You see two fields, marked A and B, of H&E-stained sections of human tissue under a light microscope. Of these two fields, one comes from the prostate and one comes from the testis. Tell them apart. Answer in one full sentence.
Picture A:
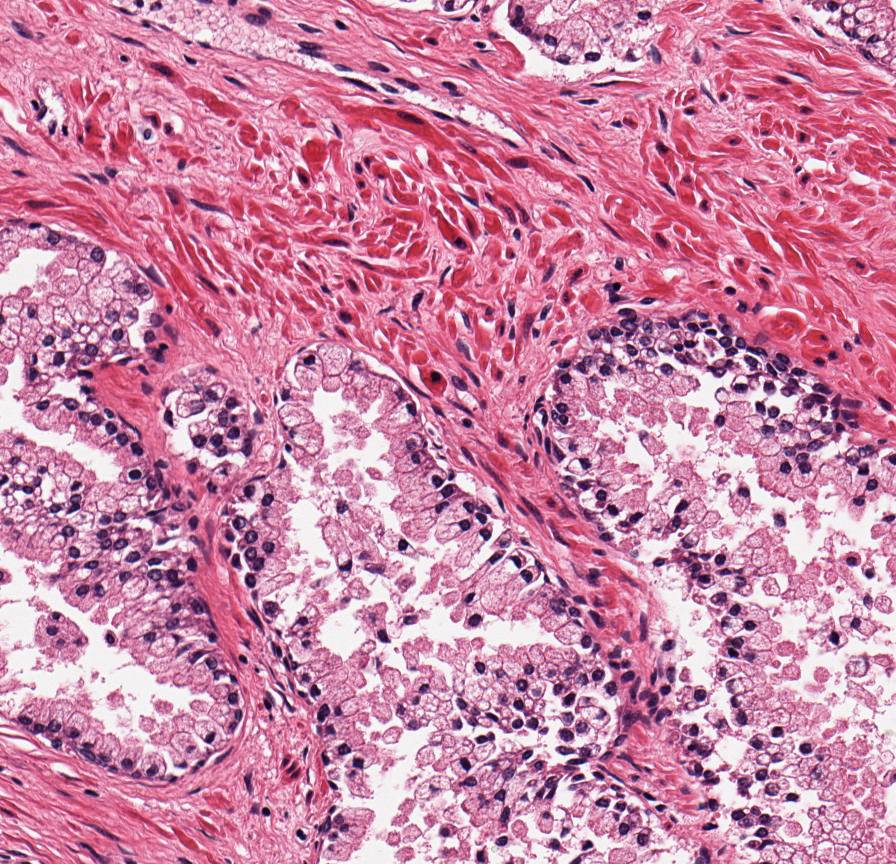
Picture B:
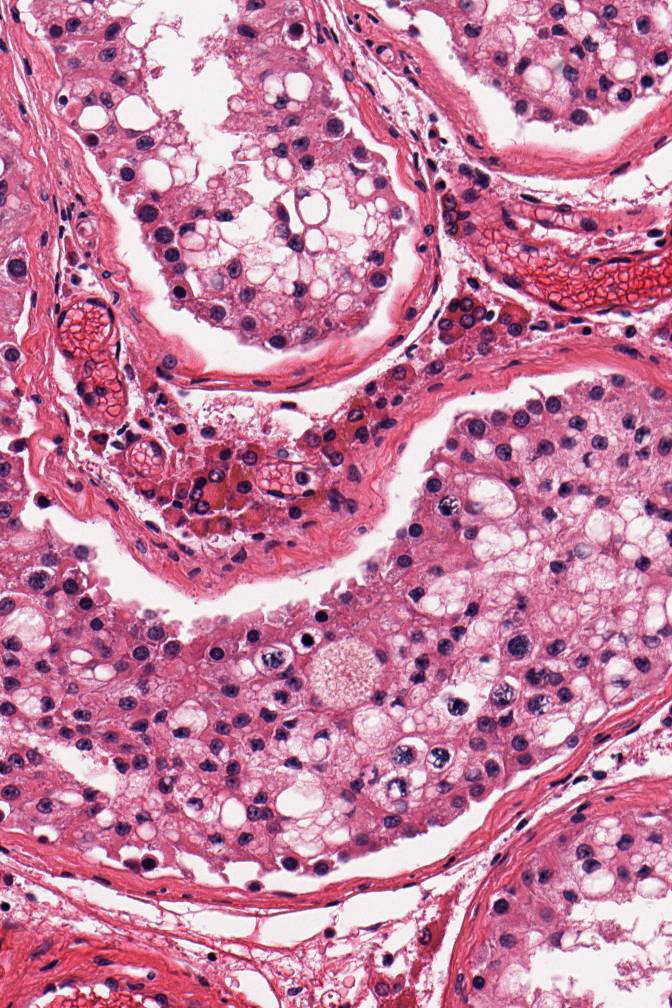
Picture A comes from the prostate; picture B comes from the testis.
